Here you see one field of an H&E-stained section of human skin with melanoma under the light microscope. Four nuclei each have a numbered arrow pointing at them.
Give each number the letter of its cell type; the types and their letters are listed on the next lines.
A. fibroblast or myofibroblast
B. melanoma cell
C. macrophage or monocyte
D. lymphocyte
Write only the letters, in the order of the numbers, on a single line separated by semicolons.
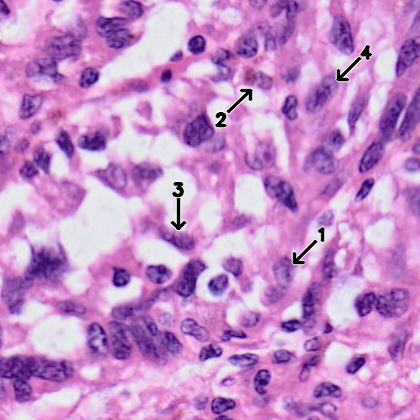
B; C; B; B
